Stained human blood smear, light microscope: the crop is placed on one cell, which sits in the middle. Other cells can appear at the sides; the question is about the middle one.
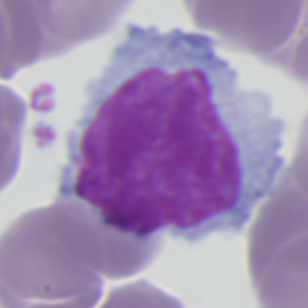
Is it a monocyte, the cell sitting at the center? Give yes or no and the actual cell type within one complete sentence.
Yes, the cell in the middle is a monocyte.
